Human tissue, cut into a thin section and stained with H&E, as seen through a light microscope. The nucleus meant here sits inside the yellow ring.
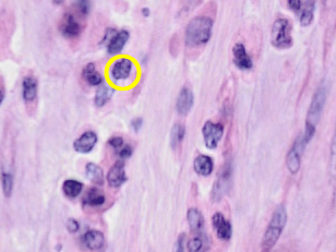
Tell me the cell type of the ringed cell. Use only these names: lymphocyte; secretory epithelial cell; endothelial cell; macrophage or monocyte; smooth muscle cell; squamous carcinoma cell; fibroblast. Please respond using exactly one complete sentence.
As for its identity, the ringed cell is a lymphocyte.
